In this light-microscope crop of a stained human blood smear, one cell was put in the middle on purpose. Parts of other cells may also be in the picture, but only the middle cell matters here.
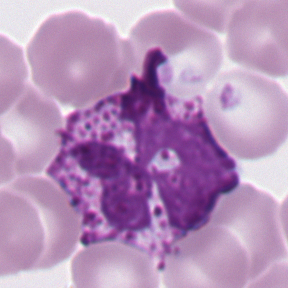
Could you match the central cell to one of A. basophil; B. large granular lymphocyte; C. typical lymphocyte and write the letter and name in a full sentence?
The cell in the middle is a basophil, and so option A is correct.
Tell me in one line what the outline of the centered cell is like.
Along its border, the cell is uneven, whether by ragged stretches or by projections.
